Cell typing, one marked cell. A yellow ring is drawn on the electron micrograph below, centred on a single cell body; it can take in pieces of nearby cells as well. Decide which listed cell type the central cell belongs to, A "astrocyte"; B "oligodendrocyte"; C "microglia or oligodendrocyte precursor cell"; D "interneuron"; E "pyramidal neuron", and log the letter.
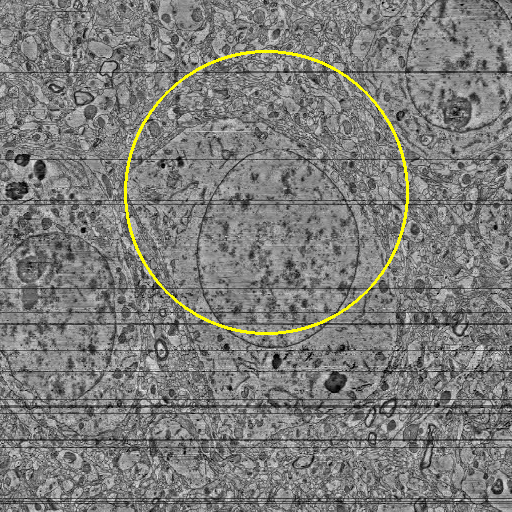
E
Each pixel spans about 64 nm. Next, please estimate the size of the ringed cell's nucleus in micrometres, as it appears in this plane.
The nucleus is approximately 13 micrometers long by 11 micrometers wide in this plane.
